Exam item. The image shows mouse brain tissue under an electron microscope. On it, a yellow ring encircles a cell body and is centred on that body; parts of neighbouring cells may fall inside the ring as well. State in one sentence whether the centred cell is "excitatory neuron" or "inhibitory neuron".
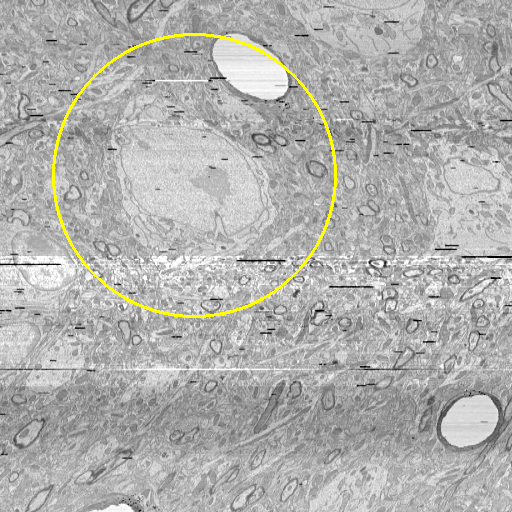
The cell body centred in the ring is an inhibitory neuron.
